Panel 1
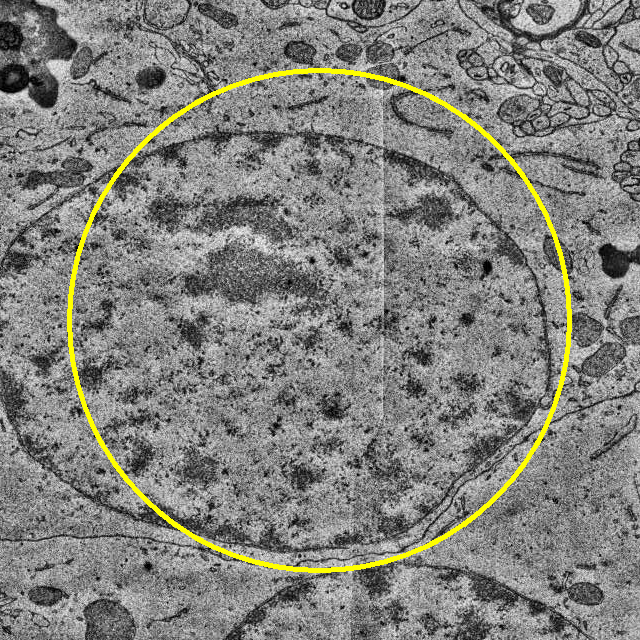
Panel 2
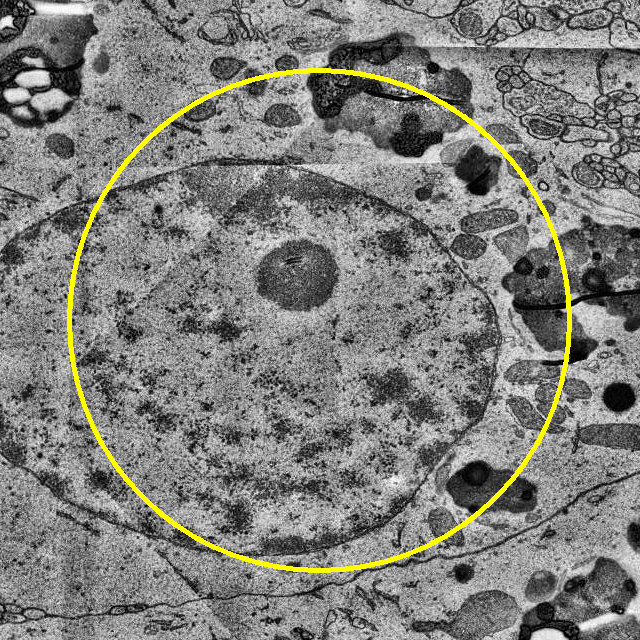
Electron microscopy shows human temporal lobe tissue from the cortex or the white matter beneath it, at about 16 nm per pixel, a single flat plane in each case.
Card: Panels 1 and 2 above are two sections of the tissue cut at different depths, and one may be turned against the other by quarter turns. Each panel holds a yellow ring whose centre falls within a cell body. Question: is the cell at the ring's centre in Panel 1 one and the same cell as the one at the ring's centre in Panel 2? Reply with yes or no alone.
yes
